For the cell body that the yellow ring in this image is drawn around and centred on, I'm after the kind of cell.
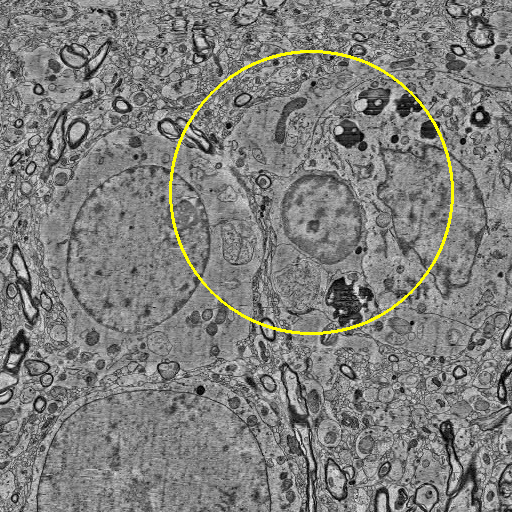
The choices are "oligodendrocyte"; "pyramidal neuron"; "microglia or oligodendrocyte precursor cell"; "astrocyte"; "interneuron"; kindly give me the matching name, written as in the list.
oligodendrocyte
